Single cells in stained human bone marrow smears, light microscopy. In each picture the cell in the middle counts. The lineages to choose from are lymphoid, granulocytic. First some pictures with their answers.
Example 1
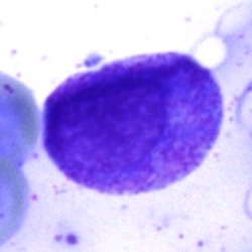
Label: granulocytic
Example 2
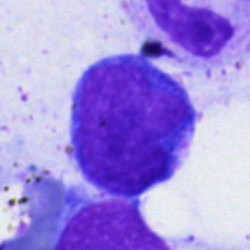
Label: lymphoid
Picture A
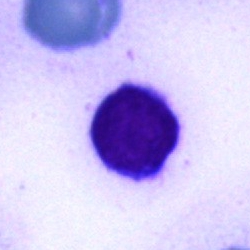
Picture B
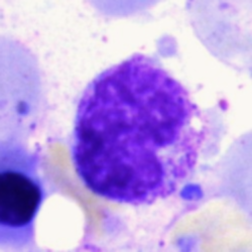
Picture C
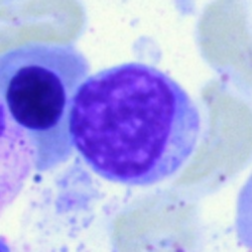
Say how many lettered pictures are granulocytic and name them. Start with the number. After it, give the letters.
1: B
